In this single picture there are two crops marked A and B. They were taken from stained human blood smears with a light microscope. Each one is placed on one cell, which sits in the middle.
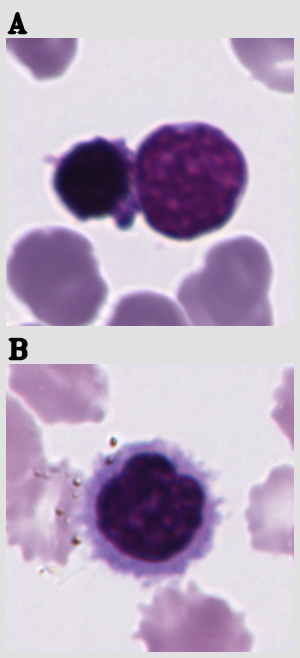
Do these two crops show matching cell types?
no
